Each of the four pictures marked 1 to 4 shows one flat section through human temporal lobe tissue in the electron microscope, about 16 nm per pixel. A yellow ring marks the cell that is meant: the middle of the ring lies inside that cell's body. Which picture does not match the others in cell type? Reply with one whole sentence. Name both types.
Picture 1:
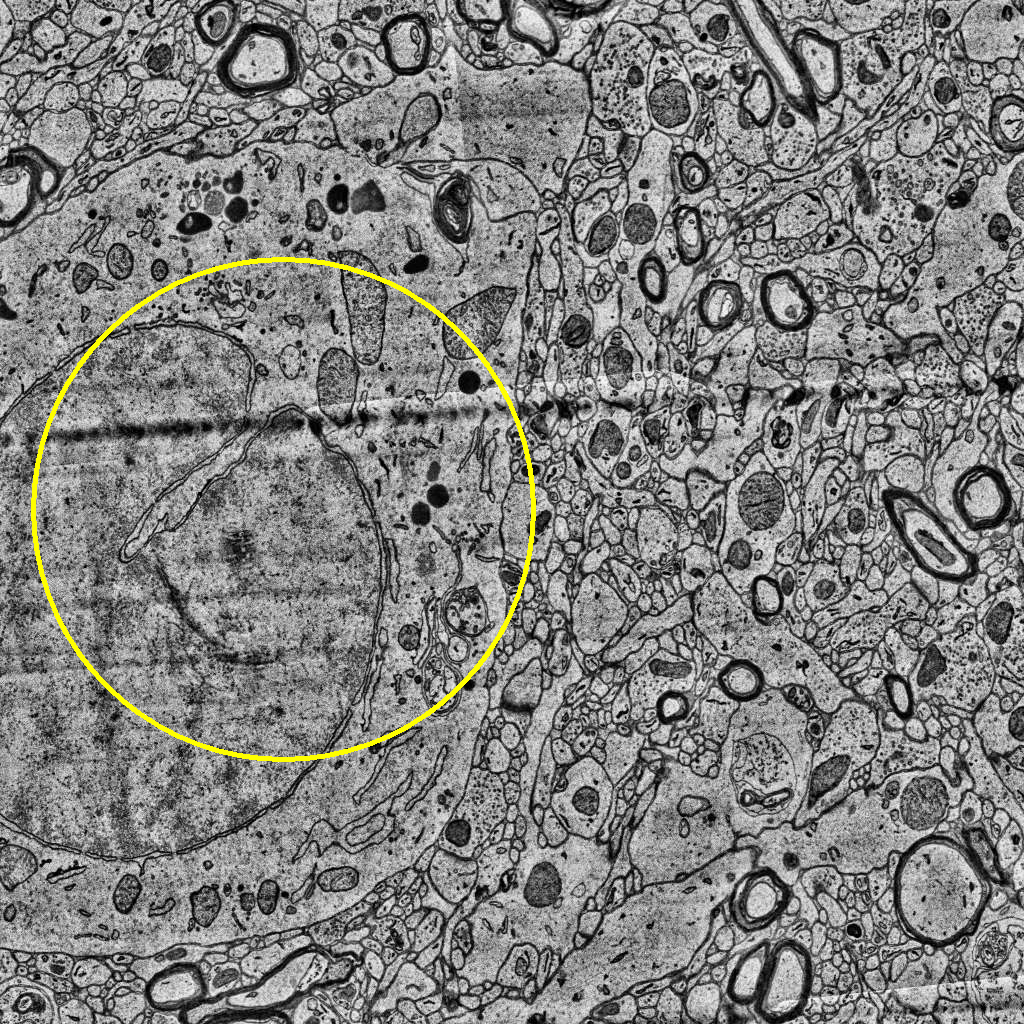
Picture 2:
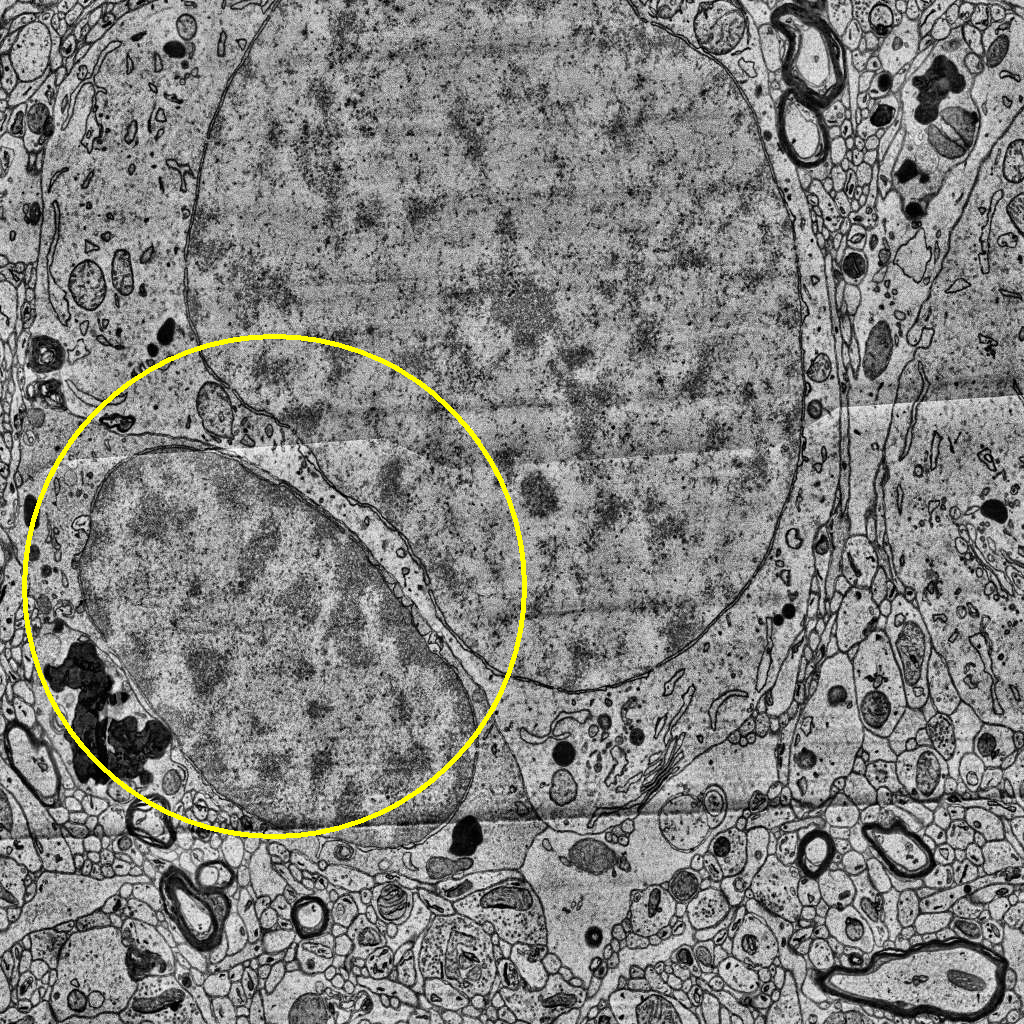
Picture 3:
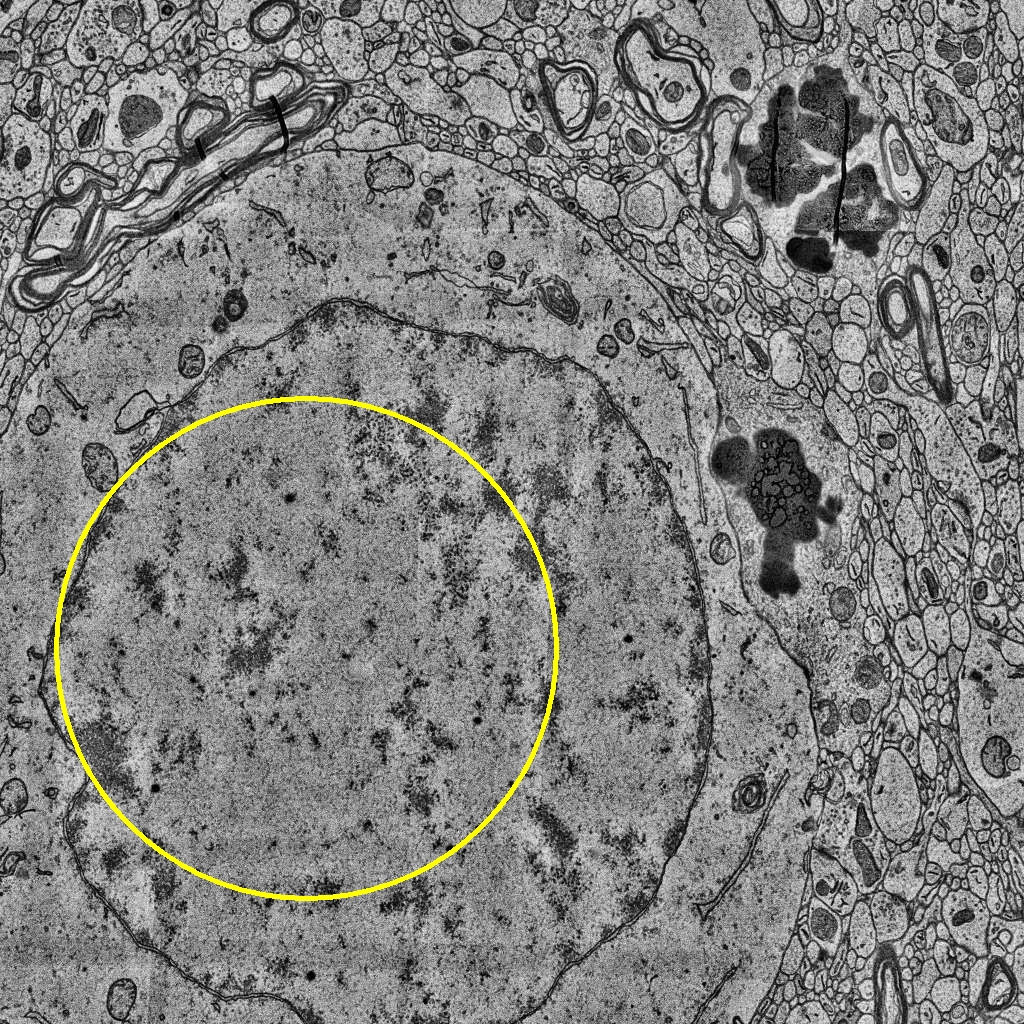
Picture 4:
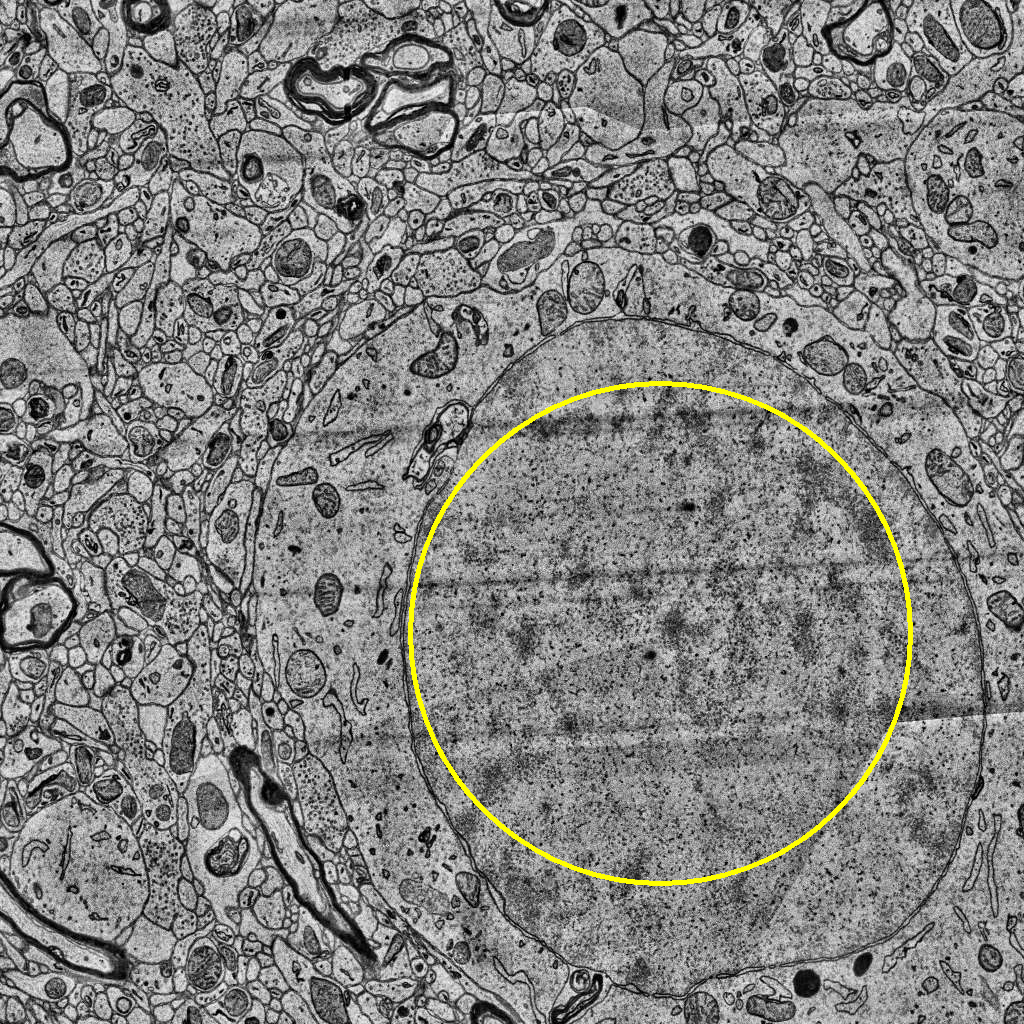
All pictures except 2 show interneurons; picture 2 shows an oligodendrocyte.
